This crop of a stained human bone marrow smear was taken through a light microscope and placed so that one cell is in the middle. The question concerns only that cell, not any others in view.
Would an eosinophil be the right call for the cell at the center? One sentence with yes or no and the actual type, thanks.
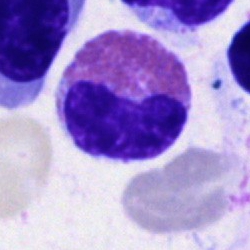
Yes, the cell occupying the middle of the crop is an eosinophil.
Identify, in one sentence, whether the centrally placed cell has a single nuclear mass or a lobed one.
A single compact nucleus, round, oval or kidney-shaped, is what this cell shows.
